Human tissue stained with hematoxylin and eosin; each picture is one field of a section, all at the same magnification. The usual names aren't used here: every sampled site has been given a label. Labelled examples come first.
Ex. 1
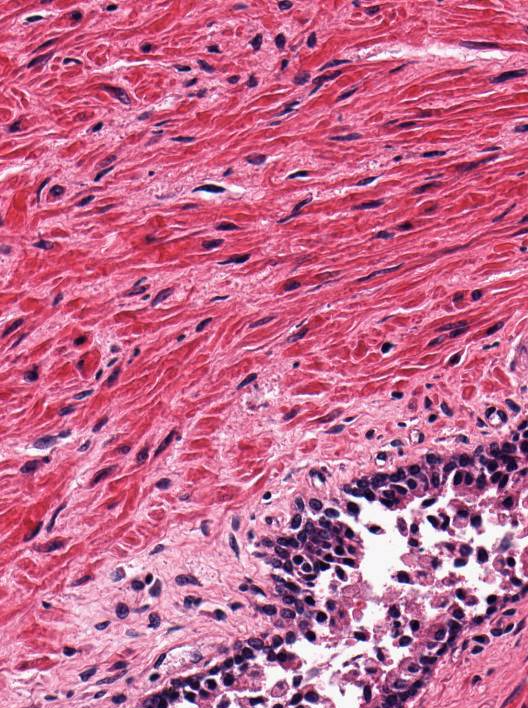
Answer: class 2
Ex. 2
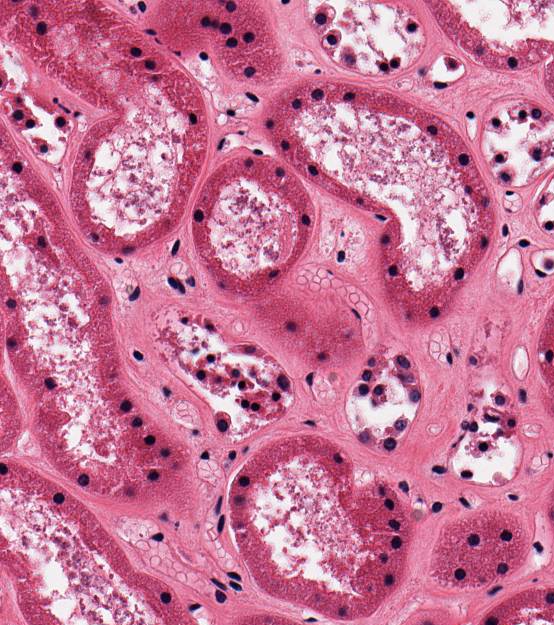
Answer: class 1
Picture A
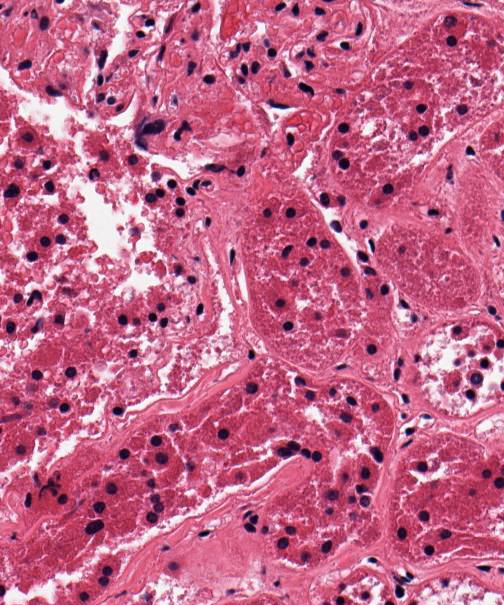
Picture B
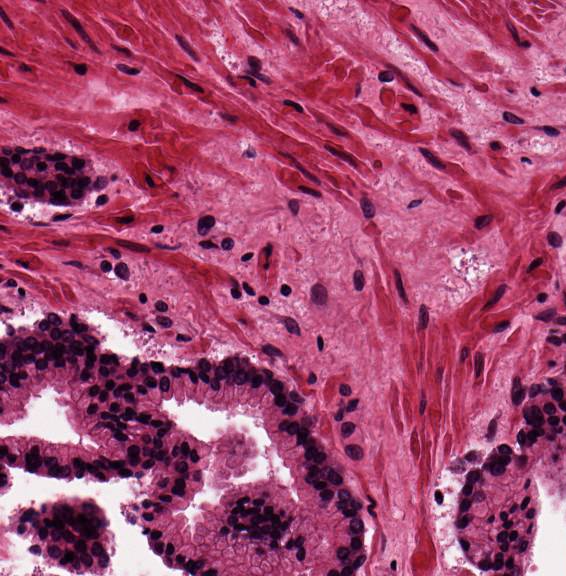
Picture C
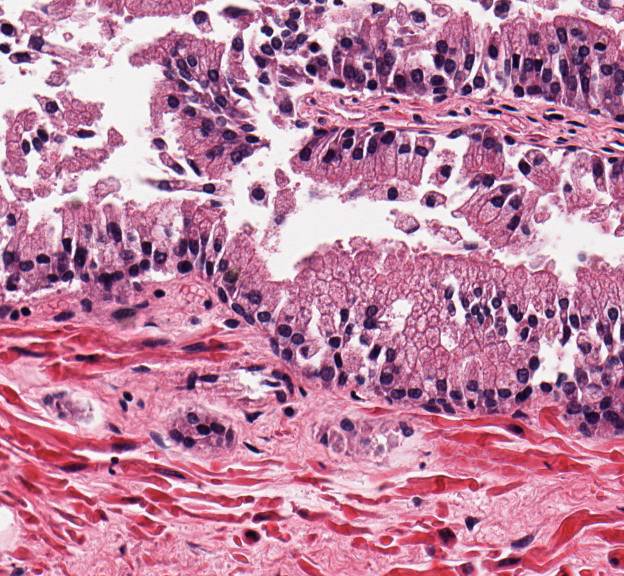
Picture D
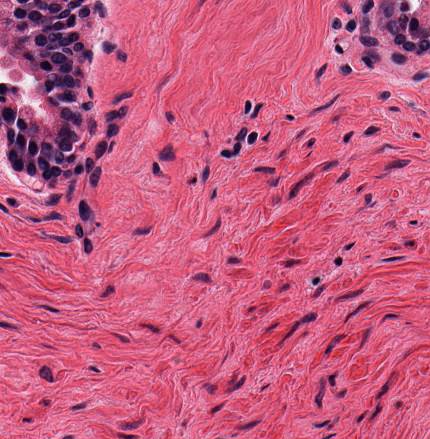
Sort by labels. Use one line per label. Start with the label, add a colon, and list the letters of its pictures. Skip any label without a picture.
class 2: B, C, D
class 1: A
